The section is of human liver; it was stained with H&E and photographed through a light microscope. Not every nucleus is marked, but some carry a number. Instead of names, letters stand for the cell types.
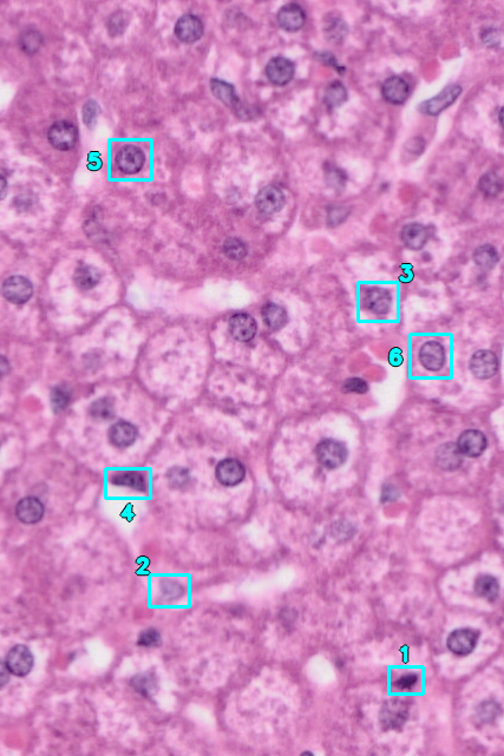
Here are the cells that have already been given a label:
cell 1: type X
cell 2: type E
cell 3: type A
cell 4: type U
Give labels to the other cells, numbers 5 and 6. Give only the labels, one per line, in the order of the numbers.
type A
type A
